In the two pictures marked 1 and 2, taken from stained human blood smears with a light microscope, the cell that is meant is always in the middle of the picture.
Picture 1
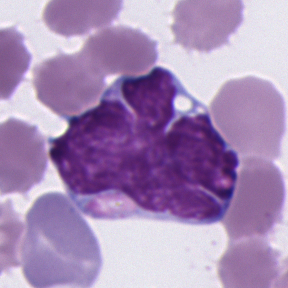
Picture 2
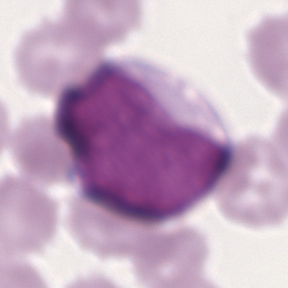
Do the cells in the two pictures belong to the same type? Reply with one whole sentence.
No, they differ: the cell is a monocyte in picture 1 and a myeloblast in picture 2.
